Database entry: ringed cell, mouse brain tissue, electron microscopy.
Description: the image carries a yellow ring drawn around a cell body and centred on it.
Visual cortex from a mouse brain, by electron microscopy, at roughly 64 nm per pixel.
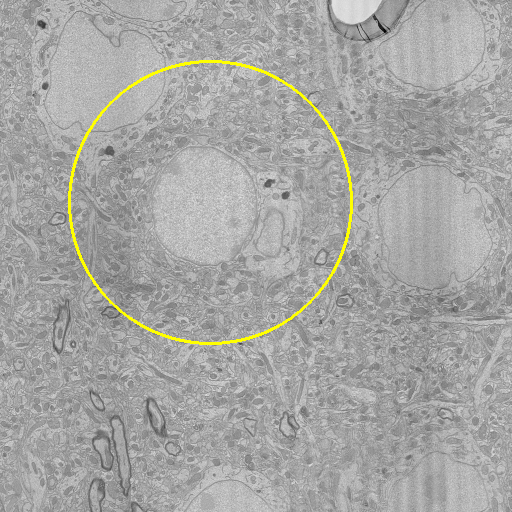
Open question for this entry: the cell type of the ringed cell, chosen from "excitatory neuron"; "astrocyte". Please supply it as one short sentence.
The ringed cell is an astrocyte.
